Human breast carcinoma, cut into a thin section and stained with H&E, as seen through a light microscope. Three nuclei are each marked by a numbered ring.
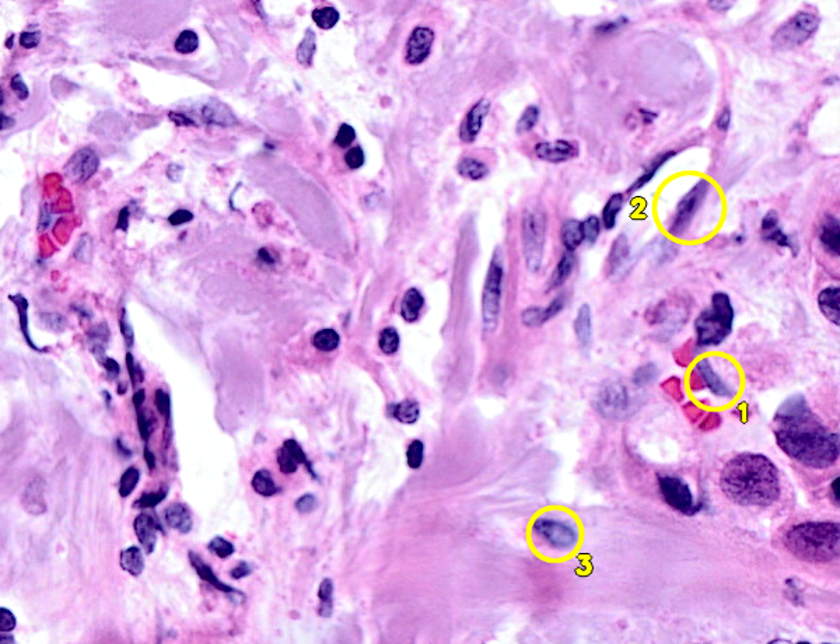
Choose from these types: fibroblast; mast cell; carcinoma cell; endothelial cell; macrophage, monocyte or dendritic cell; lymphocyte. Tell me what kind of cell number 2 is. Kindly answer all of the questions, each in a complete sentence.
What the number 2 marks in this field is a fibroblast.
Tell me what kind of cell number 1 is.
Cell 1 in the field is an endothelial cell.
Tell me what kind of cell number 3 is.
The cell marked with number 3 is a mast cell.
